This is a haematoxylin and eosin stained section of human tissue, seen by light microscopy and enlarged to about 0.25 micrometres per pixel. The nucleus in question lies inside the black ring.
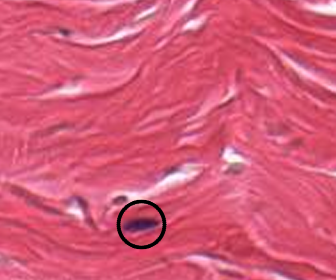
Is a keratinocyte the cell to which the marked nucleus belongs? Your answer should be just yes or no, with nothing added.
no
